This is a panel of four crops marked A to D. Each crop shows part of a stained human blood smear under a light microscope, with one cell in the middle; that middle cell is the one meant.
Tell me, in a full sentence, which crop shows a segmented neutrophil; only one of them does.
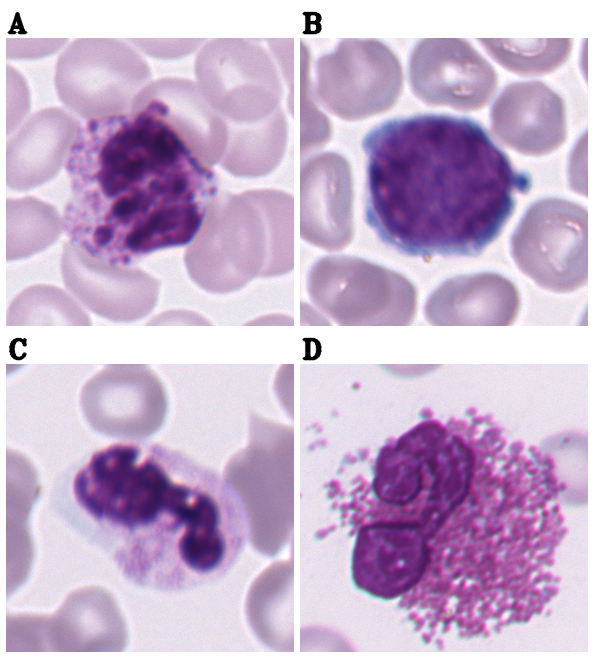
Crop C alone, of all the crops, shows a segmented neutrophil.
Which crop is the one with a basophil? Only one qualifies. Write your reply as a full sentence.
In the set of crops, crop A is the one that contains a basophil.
